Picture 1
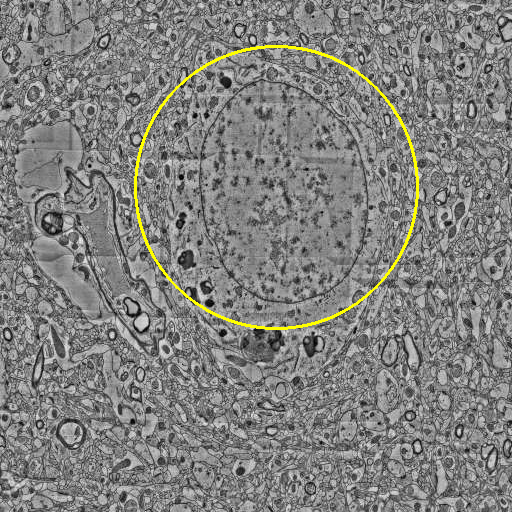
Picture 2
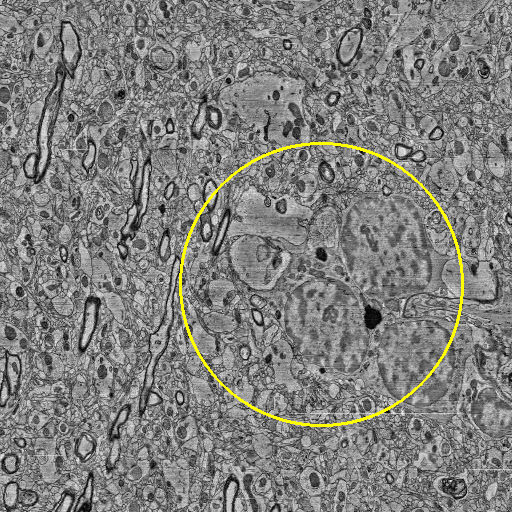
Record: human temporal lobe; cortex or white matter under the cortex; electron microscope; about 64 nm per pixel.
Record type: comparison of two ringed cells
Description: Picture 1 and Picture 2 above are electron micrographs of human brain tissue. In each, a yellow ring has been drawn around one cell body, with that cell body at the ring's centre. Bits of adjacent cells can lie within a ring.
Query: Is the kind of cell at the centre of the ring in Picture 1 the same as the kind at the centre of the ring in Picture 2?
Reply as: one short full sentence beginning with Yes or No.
No, the two ringed cells are of two separate kinds.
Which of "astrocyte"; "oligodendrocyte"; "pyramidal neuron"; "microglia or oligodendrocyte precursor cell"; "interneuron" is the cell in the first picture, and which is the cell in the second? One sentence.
The two differ: the first cell is a pyramidal neuron and the second is an oligodendrocyte.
